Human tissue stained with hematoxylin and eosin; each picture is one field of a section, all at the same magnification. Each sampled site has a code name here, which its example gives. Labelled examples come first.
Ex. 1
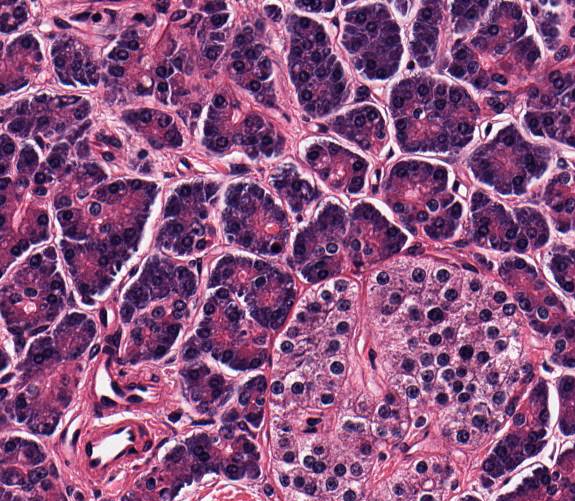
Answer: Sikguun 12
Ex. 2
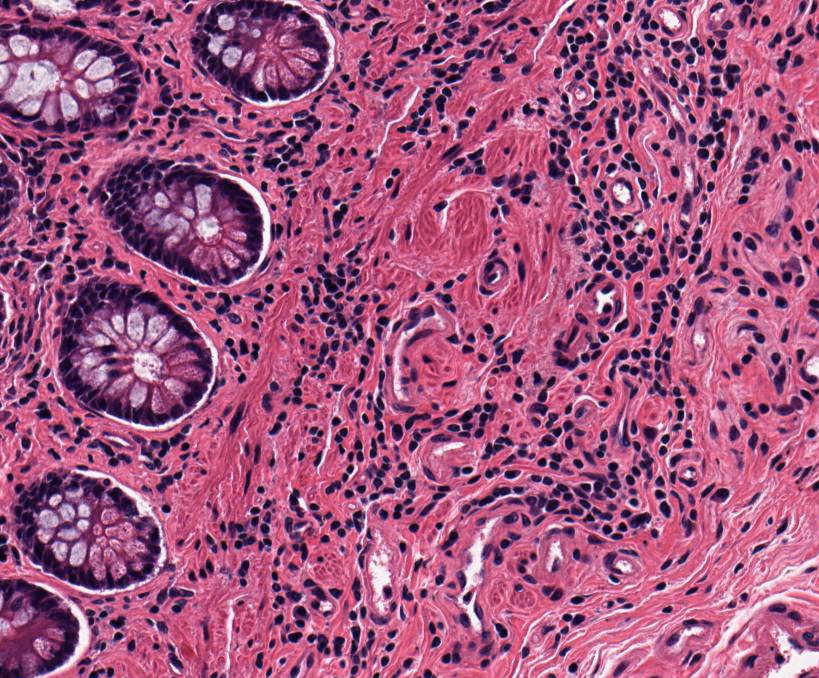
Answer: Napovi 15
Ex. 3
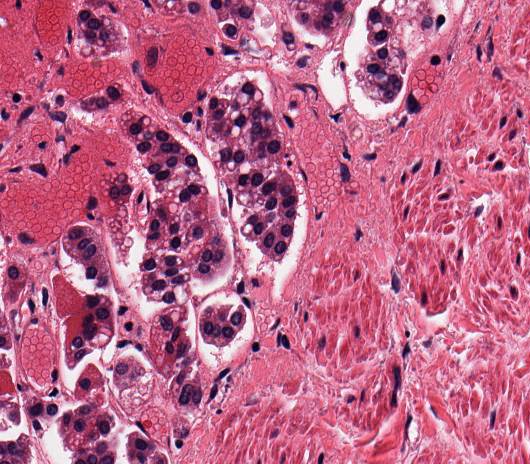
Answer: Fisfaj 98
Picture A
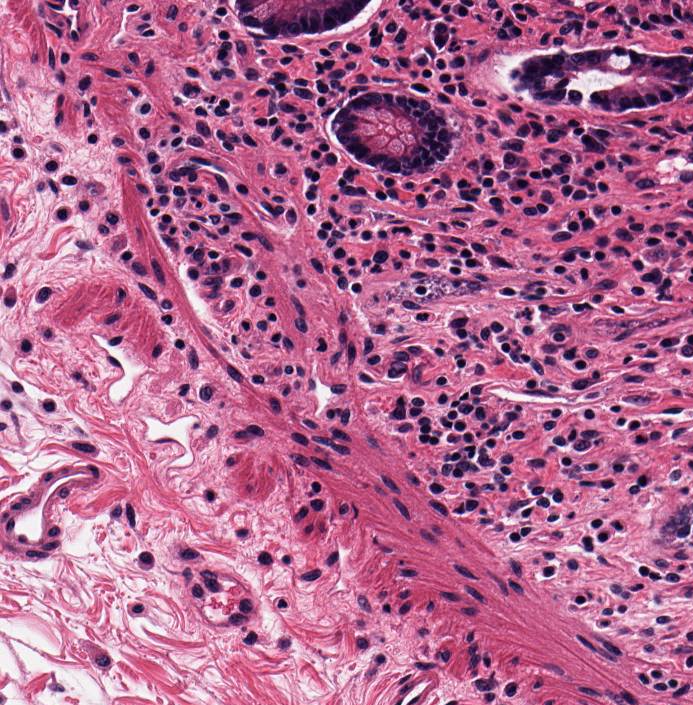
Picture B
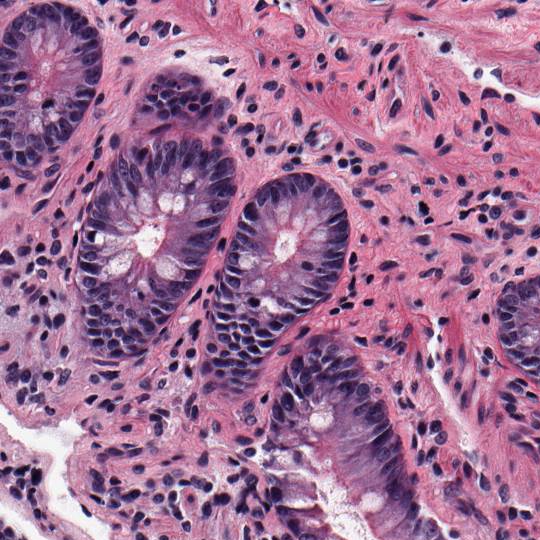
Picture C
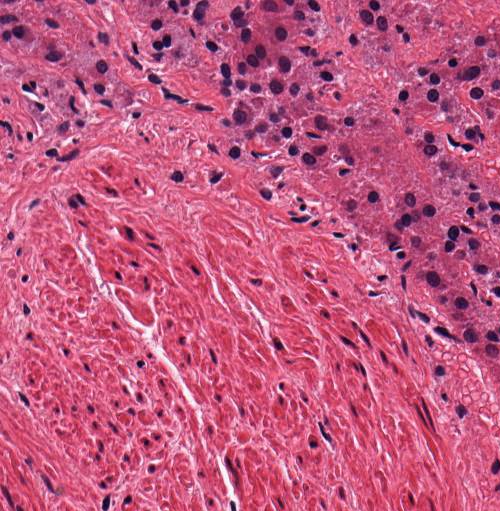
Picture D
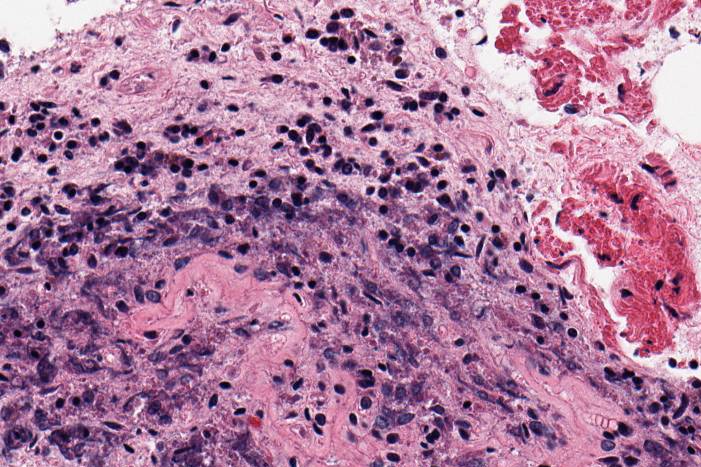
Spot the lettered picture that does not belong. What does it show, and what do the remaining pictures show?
Odd one out: C (Fisfaj 98). The rest: Napovi 15.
